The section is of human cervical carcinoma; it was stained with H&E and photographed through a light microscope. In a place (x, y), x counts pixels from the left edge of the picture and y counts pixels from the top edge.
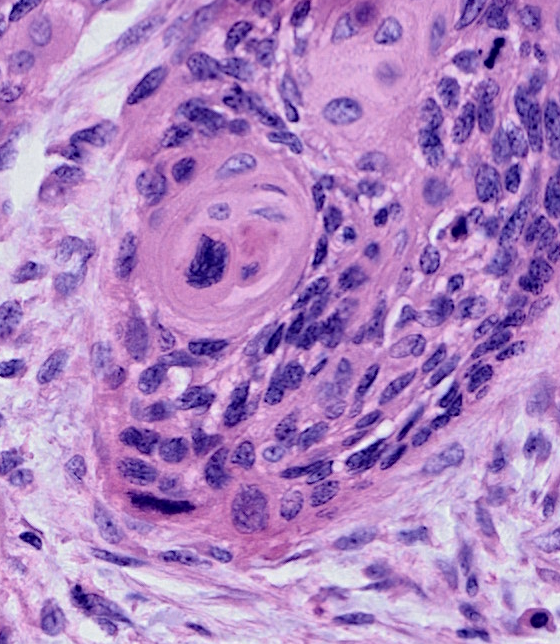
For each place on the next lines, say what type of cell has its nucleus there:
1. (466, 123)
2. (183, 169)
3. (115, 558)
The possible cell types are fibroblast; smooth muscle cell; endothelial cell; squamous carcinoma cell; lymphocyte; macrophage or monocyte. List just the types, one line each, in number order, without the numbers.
squamous carcinoma cell
squamous carcinoma cell
fibroblast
